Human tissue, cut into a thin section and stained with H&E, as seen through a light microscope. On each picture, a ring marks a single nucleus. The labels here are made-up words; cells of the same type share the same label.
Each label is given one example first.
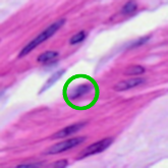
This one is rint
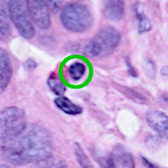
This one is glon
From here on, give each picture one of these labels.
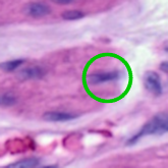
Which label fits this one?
rint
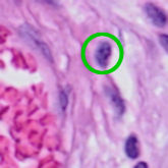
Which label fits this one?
glon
